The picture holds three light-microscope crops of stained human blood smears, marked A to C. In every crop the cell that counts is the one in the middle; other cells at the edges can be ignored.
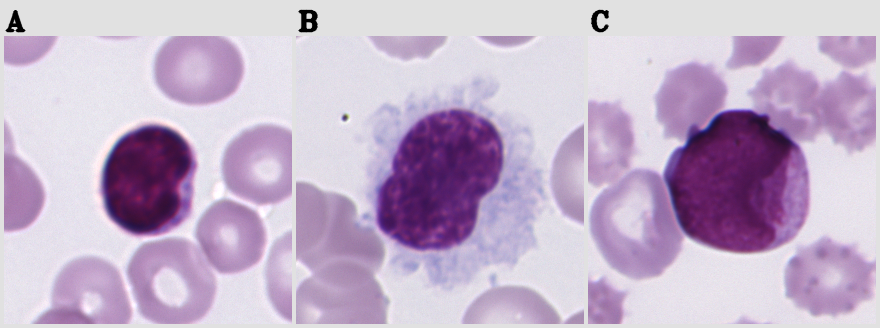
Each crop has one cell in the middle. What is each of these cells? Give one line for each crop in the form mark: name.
A: large granular lymphocyte
B: hairy cell
C: myeloblast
